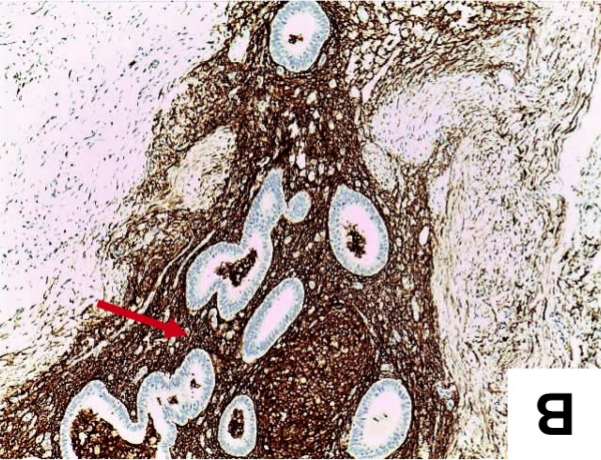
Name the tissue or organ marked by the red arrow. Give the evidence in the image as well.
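Endometrial stroma. The arrow points at brown-stained tissue lying between the glands. The gland linings are unstained and bluish while the tissue around them is dark brown. Paler, unstained fibrous tissue lies outside the brown zone.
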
